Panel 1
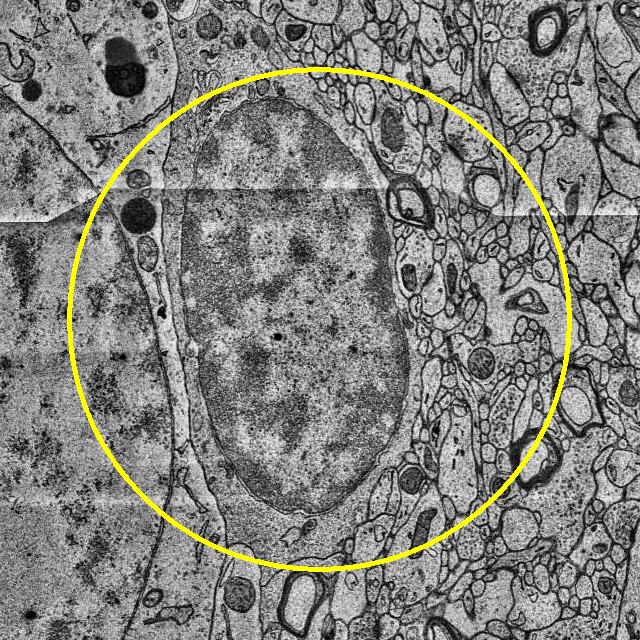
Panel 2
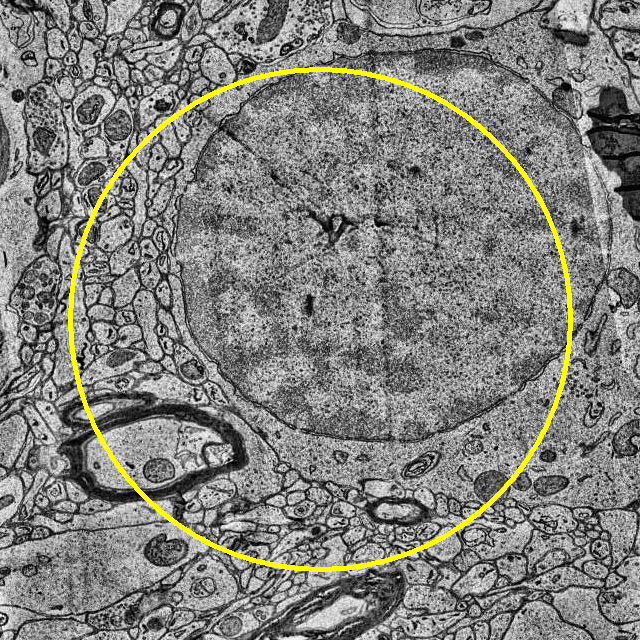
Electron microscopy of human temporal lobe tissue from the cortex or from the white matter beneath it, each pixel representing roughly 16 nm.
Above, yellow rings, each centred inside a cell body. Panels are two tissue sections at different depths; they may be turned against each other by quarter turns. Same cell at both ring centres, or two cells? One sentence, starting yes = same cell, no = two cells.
No, in this micrograph the two rings mark two different cells.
